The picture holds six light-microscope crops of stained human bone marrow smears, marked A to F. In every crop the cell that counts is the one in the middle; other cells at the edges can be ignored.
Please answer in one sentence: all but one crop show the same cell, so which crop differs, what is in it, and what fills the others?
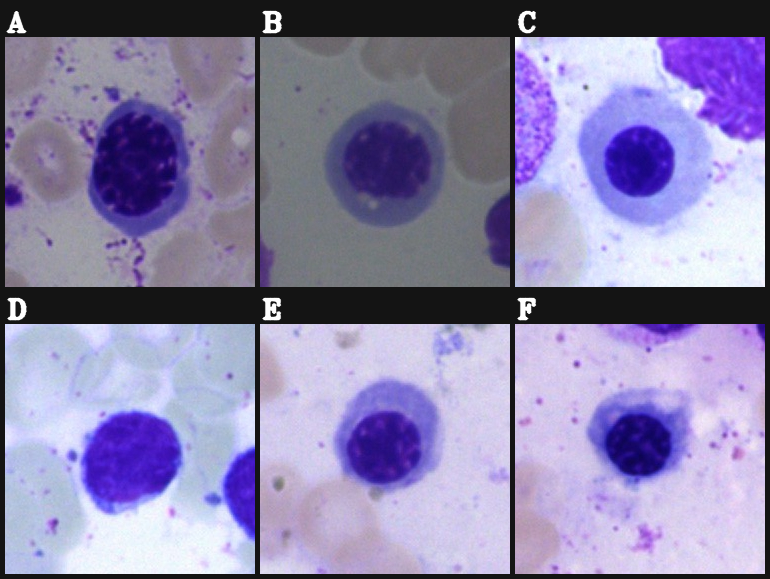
The single exception is crop D, which is a lymphocyte; all other crops show normoblasts.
